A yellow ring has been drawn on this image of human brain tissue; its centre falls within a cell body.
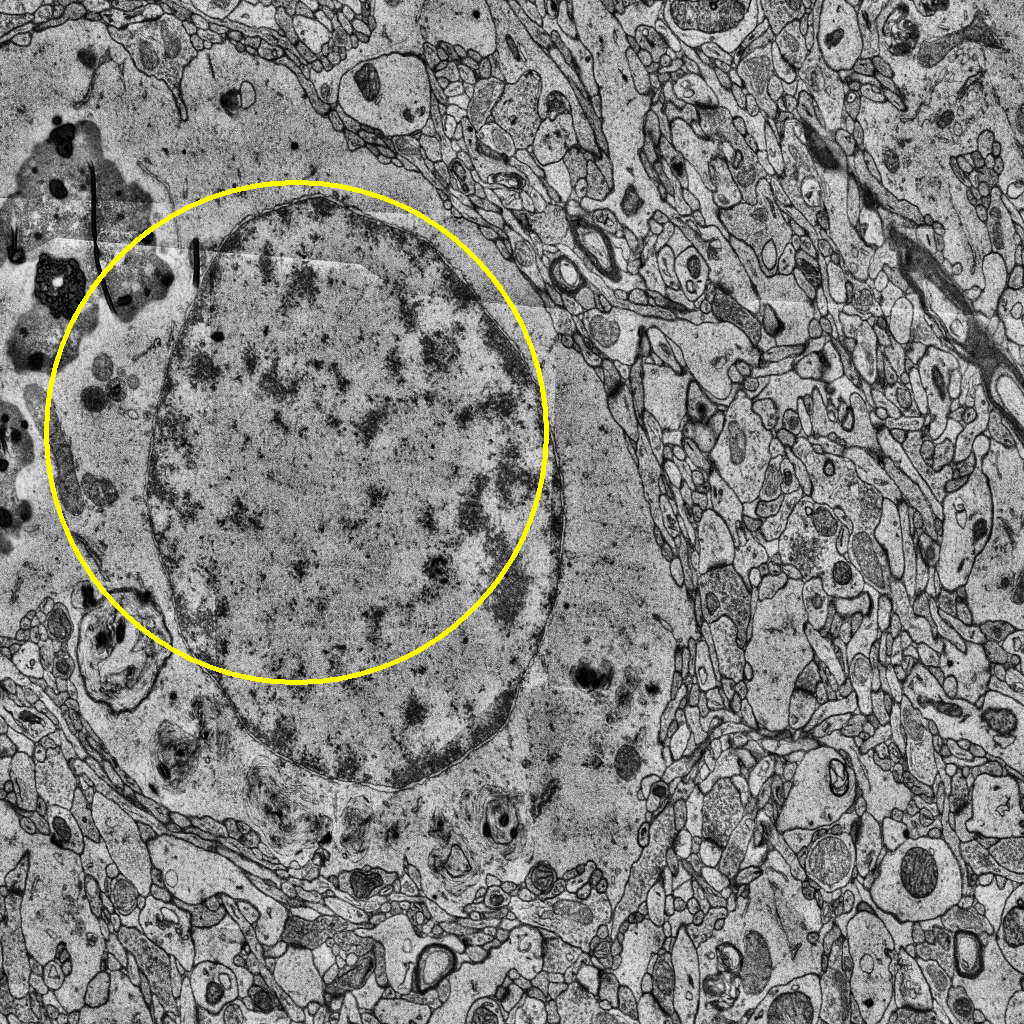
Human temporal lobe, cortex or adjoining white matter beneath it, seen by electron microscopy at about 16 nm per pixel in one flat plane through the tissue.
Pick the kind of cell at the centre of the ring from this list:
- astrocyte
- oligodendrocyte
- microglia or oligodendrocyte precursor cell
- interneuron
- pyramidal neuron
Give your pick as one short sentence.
The centre of the ring holds an astrocyte.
